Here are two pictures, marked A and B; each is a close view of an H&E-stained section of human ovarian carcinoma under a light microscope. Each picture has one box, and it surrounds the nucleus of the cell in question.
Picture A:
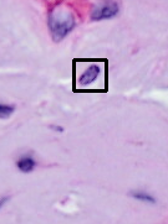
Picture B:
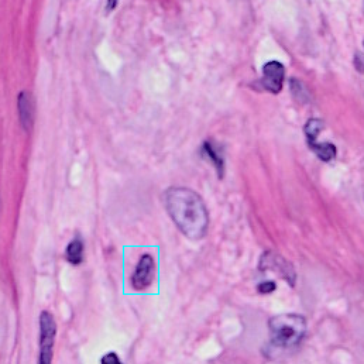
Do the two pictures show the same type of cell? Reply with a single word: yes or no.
yes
